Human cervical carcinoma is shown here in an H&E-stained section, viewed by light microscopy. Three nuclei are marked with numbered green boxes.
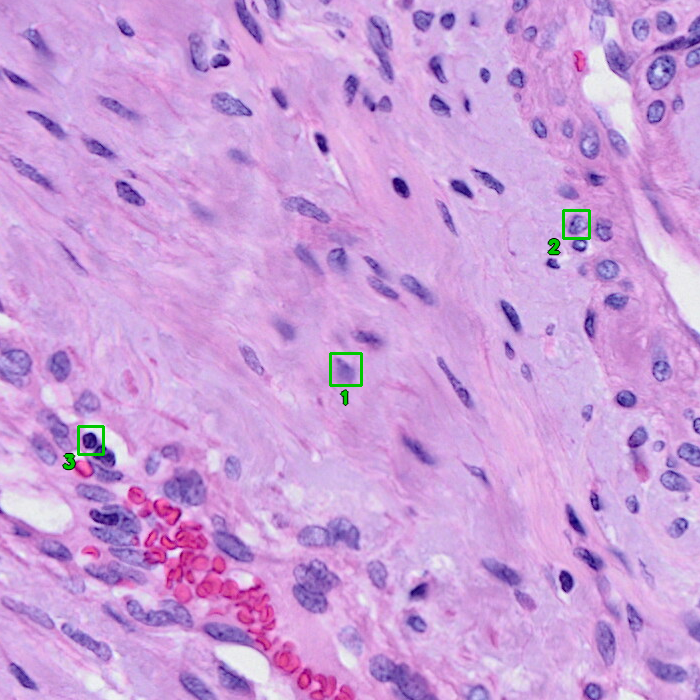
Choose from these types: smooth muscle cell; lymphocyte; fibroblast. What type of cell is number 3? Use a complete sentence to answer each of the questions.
The cell referred to as 3 is a lymphocyte.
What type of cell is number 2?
Here, the cell given the number 2 is a smooth muscle cell.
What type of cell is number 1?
Cell 1, among those numbered, is a fibroblast.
